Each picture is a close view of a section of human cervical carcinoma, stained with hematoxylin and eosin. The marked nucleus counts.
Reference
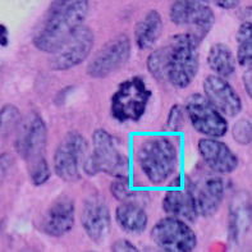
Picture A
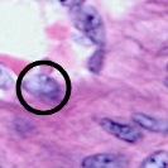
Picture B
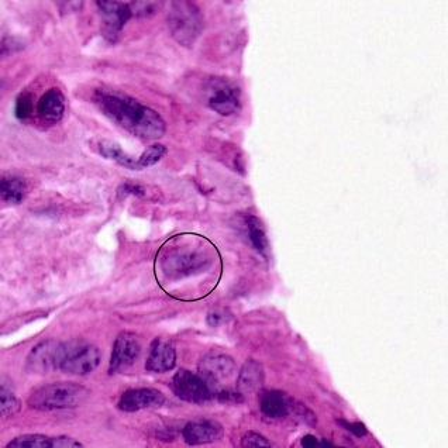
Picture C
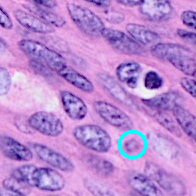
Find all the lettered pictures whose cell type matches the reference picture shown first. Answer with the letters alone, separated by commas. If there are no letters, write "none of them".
C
